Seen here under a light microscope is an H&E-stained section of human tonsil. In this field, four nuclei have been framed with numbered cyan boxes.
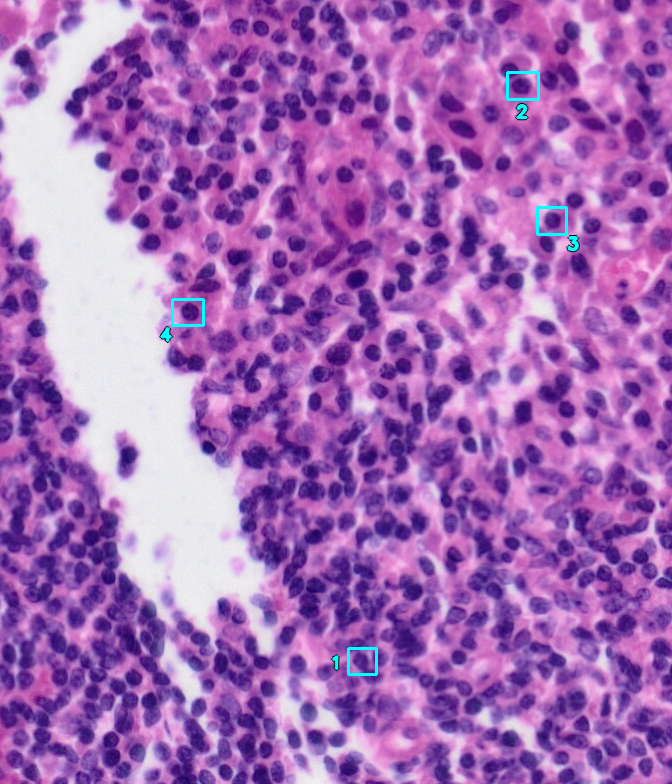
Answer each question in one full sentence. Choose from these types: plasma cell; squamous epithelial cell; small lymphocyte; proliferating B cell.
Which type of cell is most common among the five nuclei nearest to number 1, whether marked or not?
Small lymphocytes account for more than half of the five nuclei nearest to number 1.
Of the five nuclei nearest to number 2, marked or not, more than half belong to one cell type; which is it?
Plasma cells make up most of the five nuclei closest to number 2.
